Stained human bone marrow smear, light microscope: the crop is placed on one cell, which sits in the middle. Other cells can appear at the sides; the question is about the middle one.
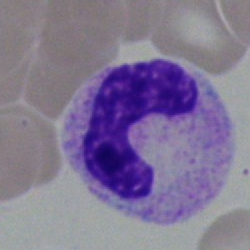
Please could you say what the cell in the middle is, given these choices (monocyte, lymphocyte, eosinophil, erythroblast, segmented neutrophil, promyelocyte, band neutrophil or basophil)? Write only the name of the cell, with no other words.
band neutrophil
